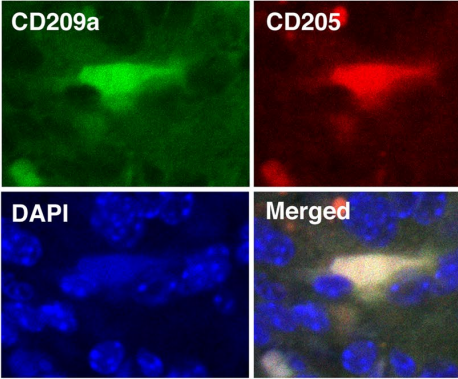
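The labelled cell is irregular in outline, with a short tapering extension to one side. It is strongly positive in both the green and the red channels, and the two signals fill the same cytoplasmic area. In the merged image they overlap as a pale yellow-white colour. Blue-stained nuclei of the surrounding cells are round to oval with speckled chromatin and crowd closely around the labelled cell.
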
